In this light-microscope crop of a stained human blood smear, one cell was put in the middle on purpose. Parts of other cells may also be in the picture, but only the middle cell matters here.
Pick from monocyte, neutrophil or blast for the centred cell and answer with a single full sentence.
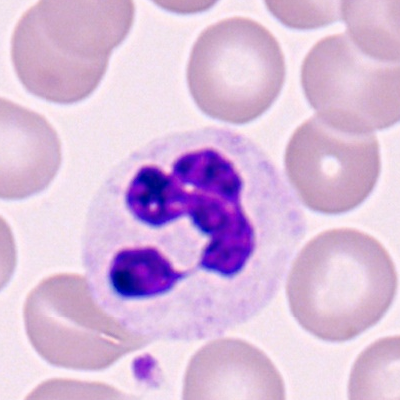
The middle position in this crop is taken by a neutrophil.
